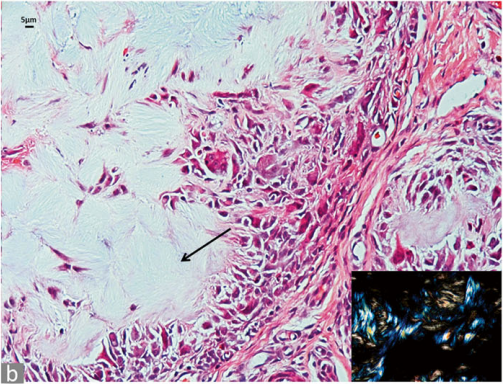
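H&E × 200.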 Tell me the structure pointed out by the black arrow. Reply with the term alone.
Dissolved urate crystals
